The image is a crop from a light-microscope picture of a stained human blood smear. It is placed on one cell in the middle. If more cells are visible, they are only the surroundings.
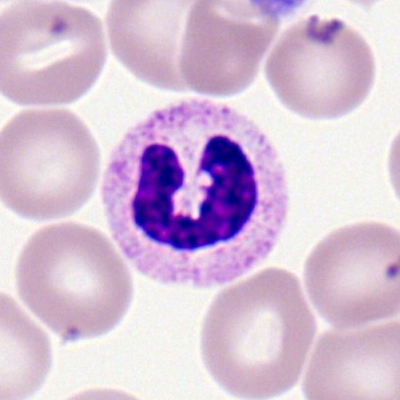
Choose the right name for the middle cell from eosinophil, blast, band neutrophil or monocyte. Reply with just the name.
band neutrophil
